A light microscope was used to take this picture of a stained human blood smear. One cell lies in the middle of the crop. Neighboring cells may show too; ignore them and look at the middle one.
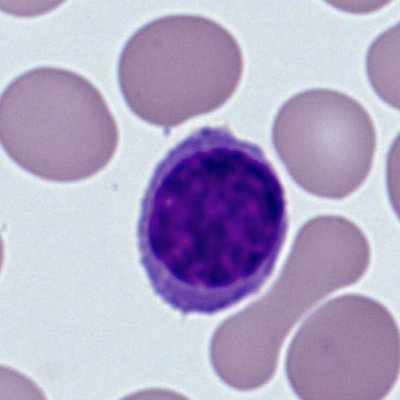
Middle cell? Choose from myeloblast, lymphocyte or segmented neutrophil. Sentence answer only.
The single cell at the center of the crop is a lymphocyte.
